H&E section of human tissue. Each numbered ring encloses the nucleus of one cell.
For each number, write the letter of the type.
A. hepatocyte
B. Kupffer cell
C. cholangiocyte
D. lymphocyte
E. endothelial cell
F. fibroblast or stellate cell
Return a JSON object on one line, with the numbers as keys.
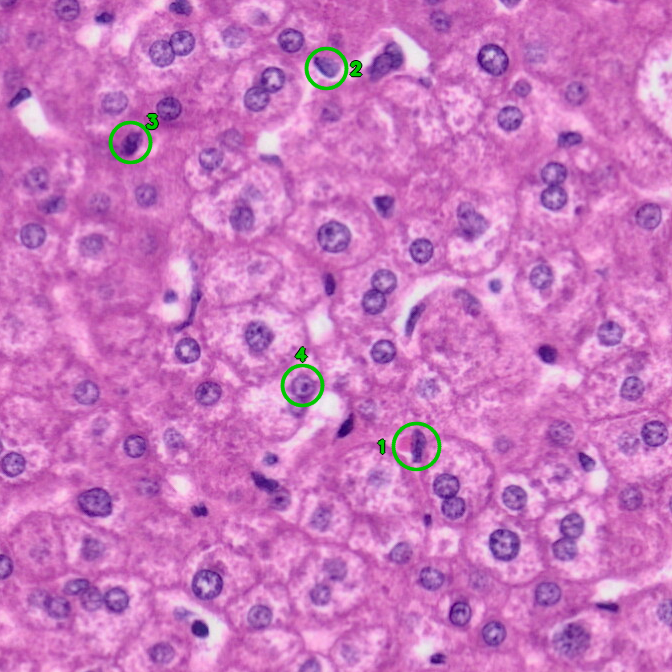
{"1": "E", "2": "E", "3": "F", "4": "A"}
